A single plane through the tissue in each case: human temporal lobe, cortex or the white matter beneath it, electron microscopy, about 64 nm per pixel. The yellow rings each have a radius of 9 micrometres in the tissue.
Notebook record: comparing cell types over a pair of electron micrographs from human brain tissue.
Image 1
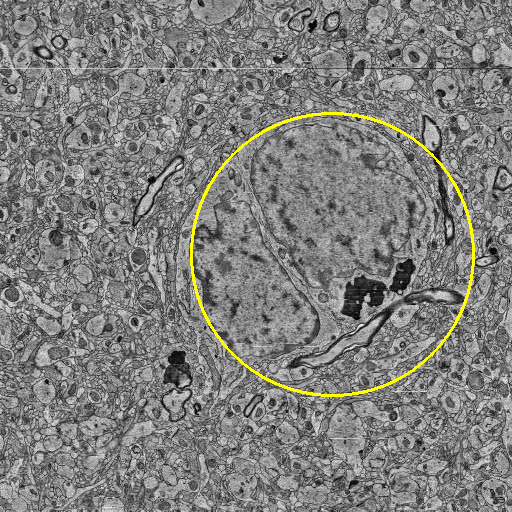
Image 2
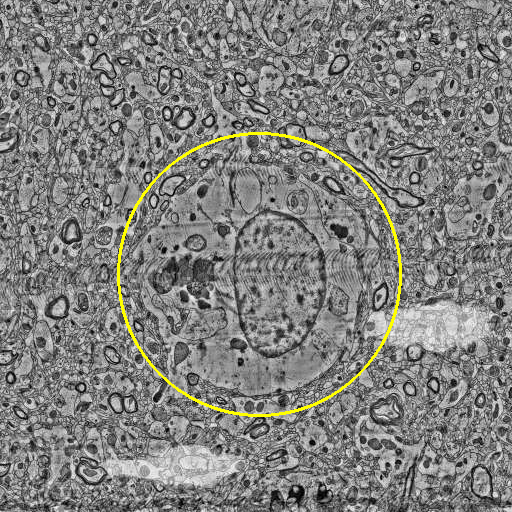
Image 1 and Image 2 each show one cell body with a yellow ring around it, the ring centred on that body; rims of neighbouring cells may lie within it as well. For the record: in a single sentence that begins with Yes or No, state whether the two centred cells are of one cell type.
No, two cell types are found among the centred cells of Image 1 and Image 2.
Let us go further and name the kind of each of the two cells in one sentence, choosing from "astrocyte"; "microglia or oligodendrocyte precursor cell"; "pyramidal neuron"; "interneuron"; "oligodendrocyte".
The ring of the first picture is on an interneuron, the ring of the second on an astrocyte.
